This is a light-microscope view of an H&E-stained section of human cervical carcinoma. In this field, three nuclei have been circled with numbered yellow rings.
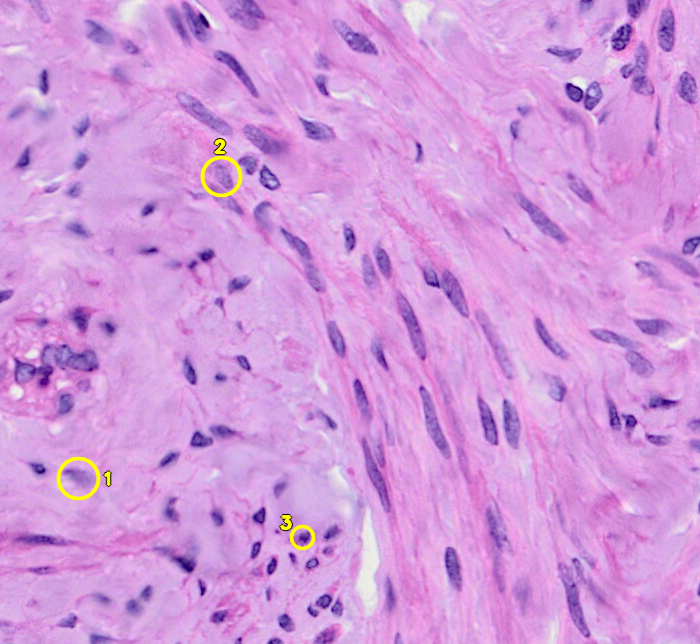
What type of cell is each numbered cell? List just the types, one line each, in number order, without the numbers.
fibroblast
smooth muscle cell
smooth muscle cell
